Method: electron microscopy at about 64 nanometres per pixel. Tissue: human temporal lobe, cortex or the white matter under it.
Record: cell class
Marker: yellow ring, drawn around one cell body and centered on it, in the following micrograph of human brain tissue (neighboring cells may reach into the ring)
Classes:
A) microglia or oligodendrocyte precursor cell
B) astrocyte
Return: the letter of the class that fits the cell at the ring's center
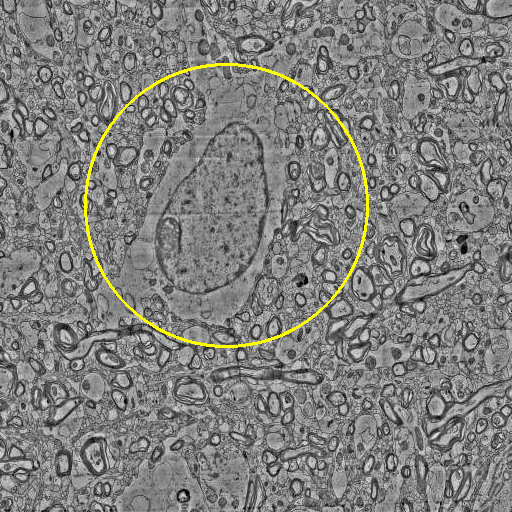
B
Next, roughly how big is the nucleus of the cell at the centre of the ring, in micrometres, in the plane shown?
Roughly 11 micrometres long and 6 micrometres wide; in this plane the nucleus is clearly longer than it is wide.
